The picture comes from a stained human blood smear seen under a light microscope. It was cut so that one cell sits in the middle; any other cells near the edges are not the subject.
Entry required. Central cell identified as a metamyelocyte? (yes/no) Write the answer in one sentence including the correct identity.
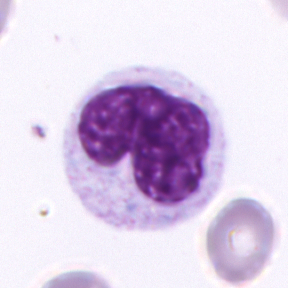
Yes, the cell placed centrally within the crop is a metamyelocyte.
